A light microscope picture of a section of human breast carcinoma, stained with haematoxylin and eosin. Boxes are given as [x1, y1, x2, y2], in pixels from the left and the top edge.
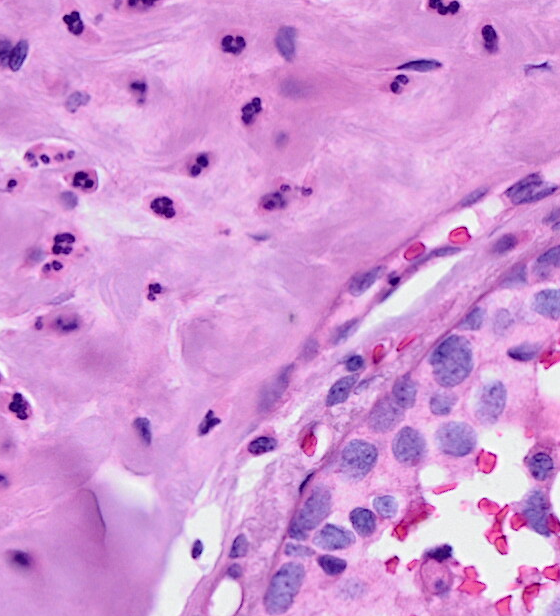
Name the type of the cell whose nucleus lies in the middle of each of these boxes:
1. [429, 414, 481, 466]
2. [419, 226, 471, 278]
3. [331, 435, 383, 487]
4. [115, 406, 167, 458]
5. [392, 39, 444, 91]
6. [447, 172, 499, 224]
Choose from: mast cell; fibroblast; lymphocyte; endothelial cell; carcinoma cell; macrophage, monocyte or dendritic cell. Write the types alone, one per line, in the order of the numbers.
carcinoma cell
endothelial cell
carcinoma cell
fibroblast
fibroblast
endothelial cell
